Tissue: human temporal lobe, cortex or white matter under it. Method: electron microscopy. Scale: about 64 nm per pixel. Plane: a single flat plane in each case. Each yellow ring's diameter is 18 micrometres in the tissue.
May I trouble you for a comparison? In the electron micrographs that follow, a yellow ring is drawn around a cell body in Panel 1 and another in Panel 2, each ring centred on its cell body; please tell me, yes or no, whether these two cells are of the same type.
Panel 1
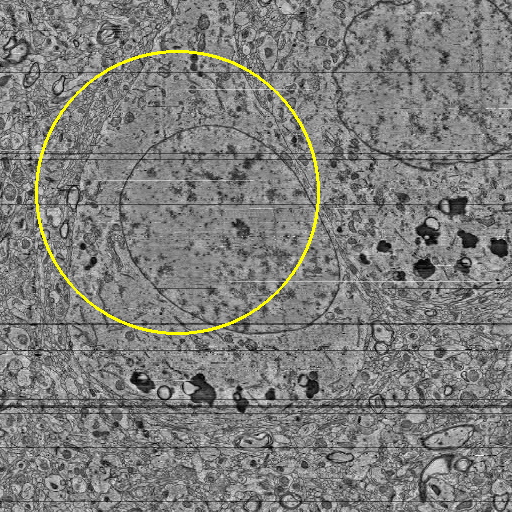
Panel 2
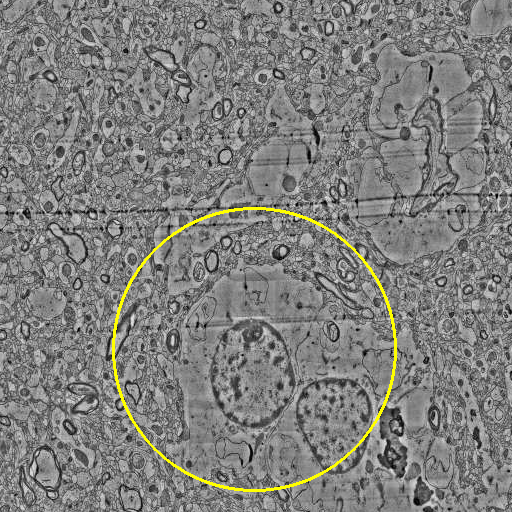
no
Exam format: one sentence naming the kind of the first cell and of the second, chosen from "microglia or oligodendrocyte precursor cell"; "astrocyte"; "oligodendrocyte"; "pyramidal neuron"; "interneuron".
The first picture's cell is a pyramidal neuron, and the second picture's cell is an astrocyte.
